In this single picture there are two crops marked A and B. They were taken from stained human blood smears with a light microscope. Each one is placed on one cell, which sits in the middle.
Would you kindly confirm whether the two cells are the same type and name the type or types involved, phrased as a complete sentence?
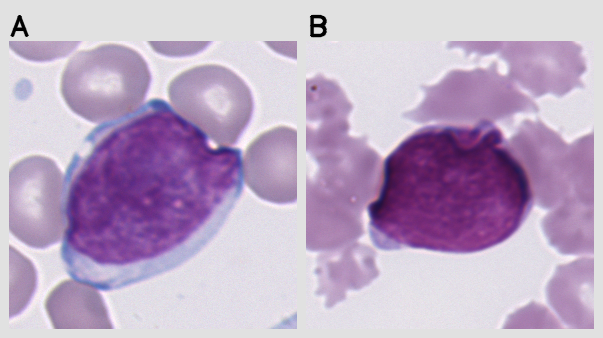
Yes, the cells at the centres of the two crops are blasts.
